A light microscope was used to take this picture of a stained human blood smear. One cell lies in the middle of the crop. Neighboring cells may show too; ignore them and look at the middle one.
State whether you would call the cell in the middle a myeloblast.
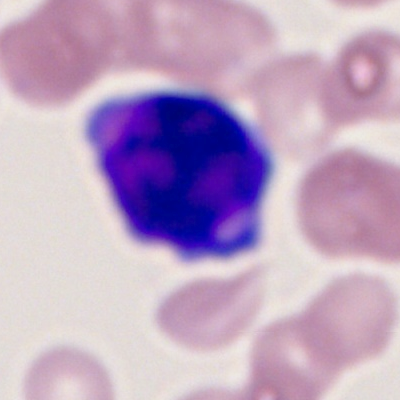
yes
